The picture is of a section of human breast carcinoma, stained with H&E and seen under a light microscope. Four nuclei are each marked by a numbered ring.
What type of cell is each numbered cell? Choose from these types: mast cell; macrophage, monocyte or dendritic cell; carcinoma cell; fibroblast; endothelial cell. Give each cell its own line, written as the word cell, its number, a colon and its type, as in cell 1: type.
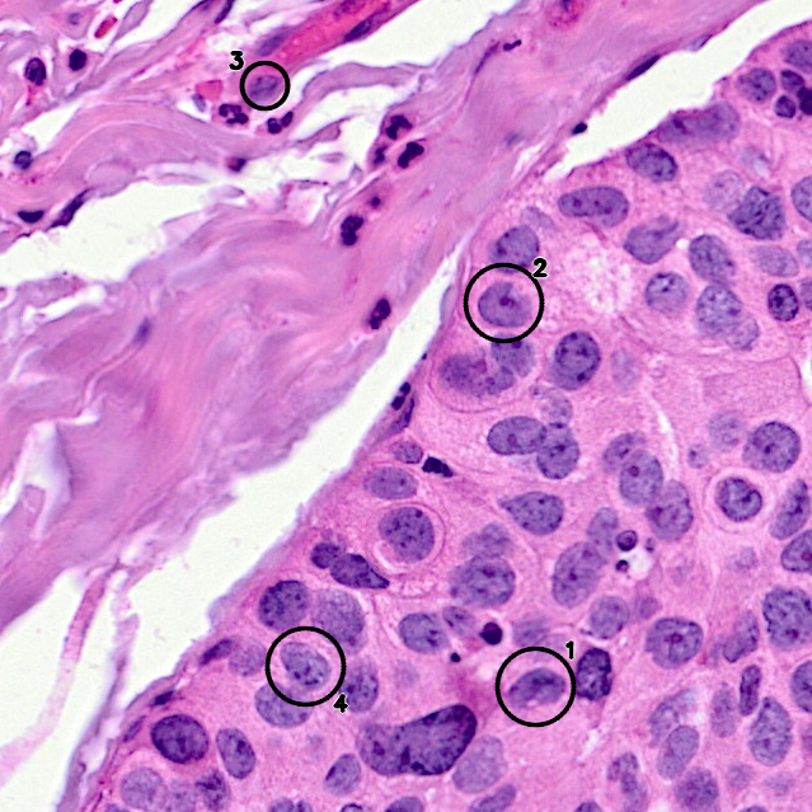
cell 1: carcinoma cell
cell 2: carcinoma cell
cell 3: endothelial cell
cell 4: carcinoma cell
